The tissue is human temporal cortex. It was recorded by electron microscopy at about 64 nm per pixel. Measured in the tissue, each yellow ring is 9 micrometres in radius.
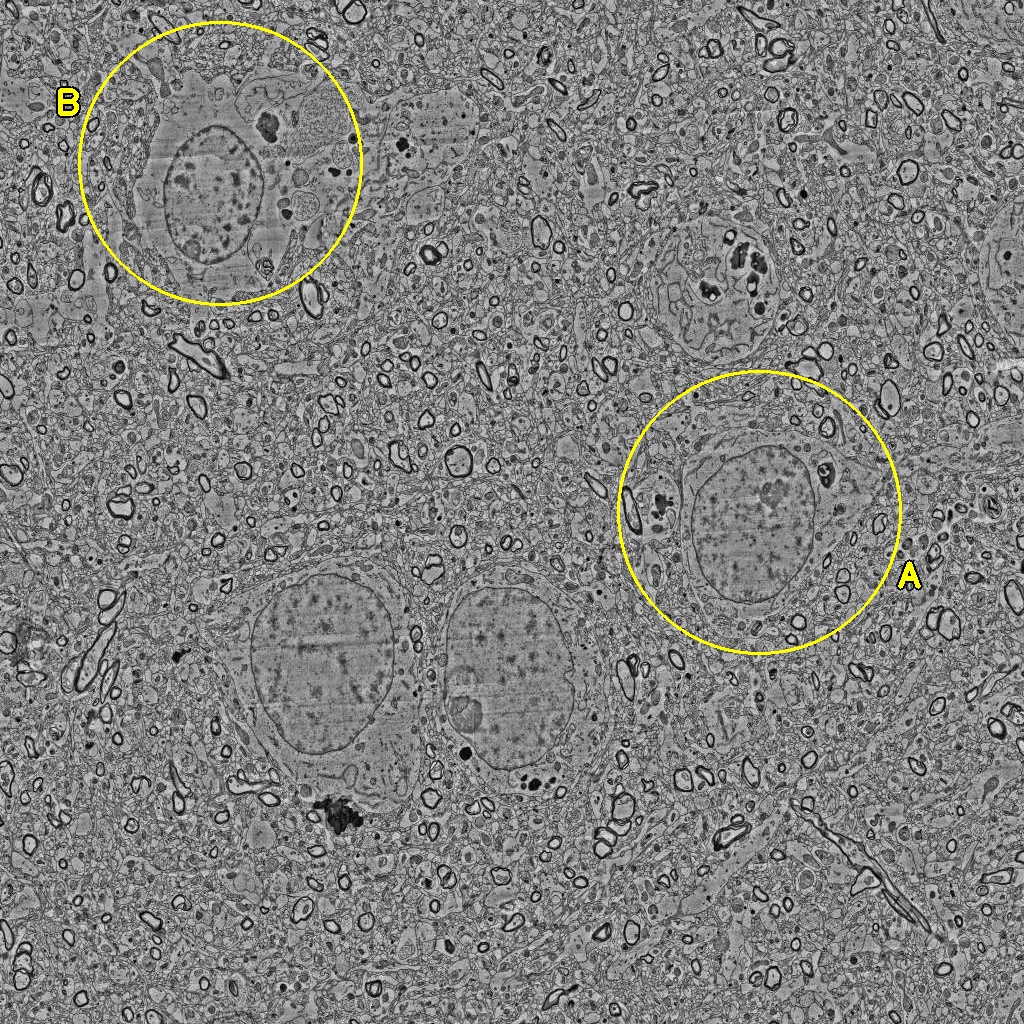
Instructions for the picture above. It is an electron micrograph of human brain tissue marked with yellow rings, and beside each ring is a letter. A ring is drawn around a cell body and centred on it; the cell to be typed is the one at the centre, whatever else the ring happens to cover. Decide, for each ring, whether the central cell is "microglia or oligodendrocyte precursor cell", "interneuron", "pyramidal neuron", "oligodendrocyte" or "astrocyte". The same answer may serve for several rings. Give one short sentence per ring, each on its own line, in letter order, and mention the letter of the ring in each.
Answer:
Ring A is drawn around a pyramidal neuron.
Ring B is drawn around an astrocyte.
